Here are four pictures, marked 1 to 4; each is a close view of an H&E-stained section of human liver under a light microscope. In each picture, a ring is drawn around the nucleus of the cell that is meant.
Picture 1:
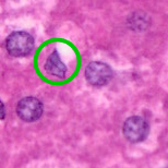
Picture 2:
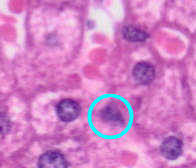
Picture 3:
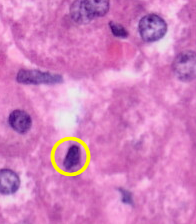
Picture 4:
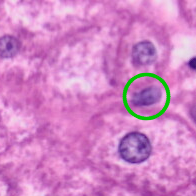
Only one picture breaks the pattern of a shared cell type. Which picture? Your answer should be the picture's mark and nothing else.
3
